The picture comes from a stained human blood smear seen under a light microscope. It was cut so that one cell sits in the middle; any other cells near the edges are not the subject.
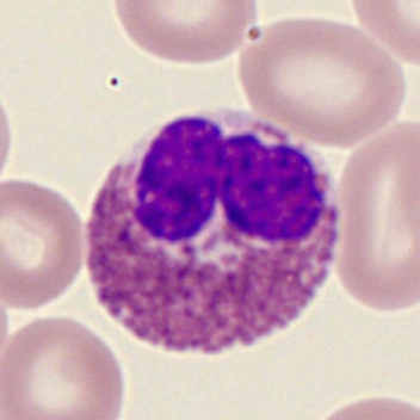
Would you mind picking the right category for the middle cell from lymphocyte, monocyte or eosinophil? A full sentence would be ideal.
The cell at the centre of the field is an eosinophil.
